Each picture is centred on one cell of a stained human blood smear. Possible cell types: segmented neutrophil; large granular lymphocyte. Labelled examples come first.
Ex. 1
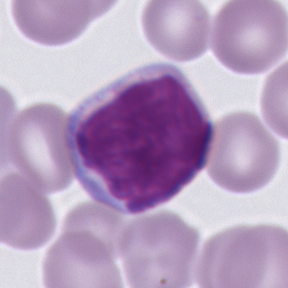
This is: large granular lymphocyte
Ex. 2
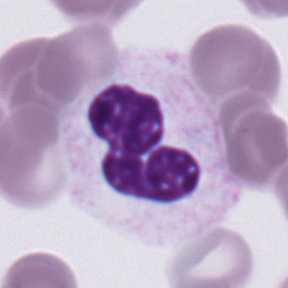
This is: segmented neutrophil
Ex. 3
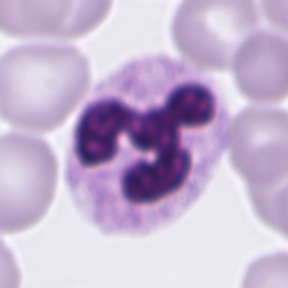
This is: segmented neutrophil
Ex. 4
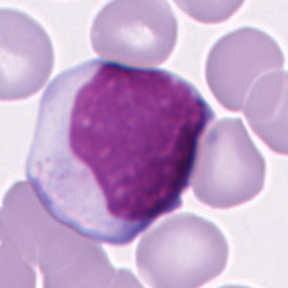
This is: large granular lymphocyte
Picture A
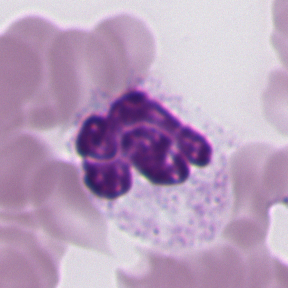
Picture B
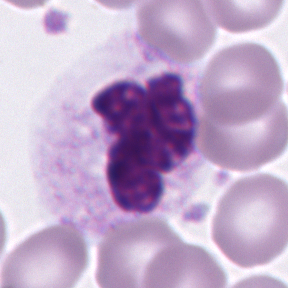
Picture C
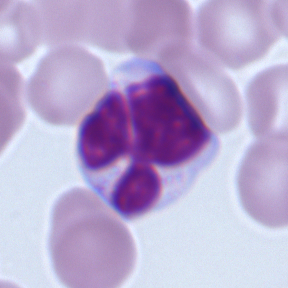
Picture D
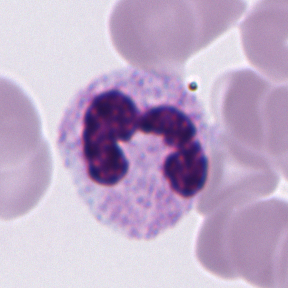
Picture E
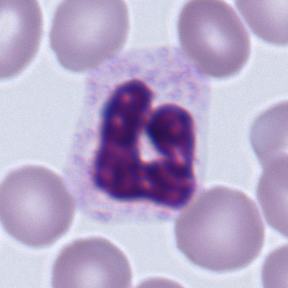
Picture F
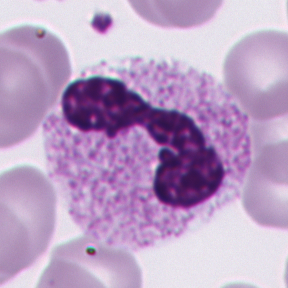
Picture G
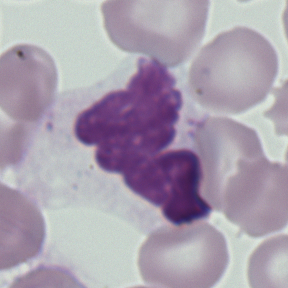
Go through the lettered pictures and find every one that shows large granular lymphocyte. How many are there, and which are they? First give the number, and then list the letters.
1: C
